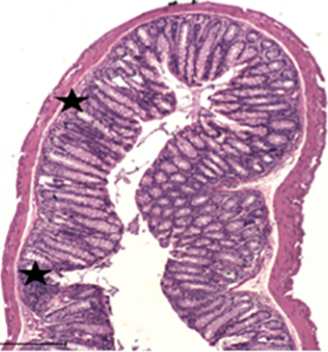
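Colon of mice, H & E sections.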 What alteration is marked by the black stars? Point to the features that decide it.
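The black stars lie at the base of the mucosa next to the muscle wall. The colon wall is cut in cross-section with crypts pointing toward the lumen.
Conclusion: cellular infiltration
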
